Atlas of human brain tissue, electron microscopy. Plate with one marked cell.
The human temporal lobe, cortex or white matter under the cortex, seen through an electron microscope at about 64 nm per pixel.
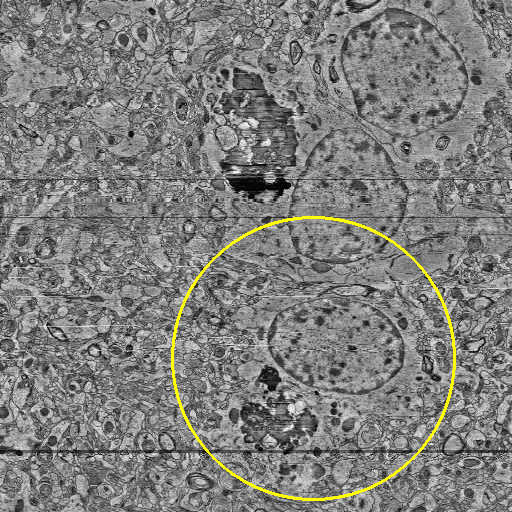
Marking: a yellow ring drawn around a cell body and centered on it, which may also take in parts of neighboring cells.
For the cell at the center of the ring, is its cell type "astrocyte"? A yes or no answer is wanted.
Yes, that is its cell type.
